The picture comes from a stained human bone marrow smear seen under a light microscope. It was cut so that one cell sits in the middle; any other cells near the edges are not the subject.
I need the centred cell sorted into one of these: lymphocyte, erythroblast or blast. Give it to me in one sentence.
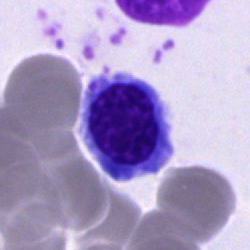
The cell shown in the center of this light-microscope crop is an erythroblast.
